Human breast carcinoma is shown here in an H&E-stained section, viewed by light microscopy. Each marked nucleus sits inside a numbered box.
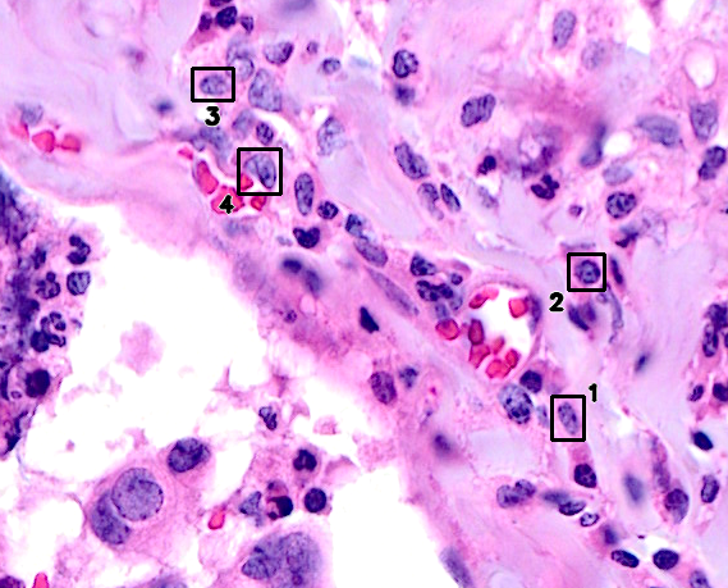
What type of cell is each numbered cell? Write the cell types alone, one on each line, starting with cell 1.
mast cell
mast cell
mast cell
endothelial cell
